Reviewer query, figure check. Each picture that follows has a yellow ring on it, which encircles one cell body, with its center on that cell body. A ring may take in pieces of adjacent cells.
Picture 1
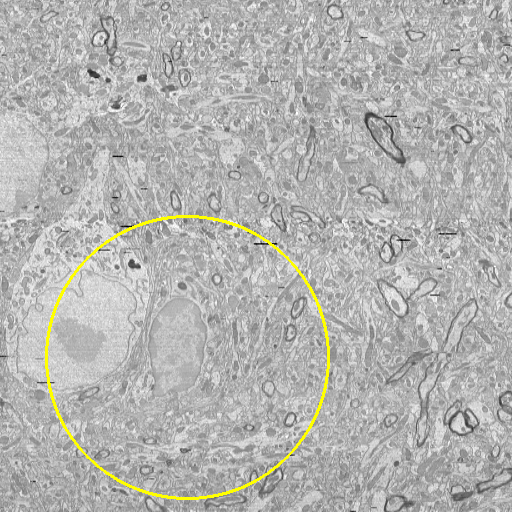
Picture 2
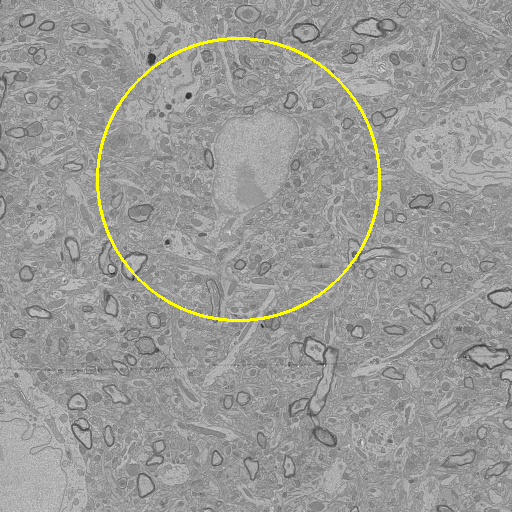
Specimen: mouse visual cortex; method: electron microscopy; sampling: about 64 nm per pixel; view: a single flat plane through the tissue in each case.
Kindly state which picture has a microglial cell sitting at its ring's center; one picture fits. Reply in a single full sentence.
In picture 1, the cell at the center of the ring is the requested one.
